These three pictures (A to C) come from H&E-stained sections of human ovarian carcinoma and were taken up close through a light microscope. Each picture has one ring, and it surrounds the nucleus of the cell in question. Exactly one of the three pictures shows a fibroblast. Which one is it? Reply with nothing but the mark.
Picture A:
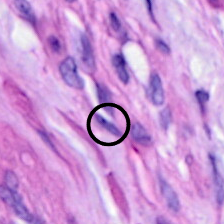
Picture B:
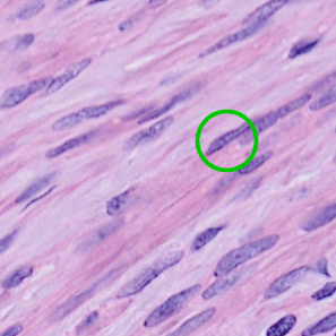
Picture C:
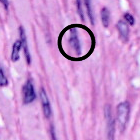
C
